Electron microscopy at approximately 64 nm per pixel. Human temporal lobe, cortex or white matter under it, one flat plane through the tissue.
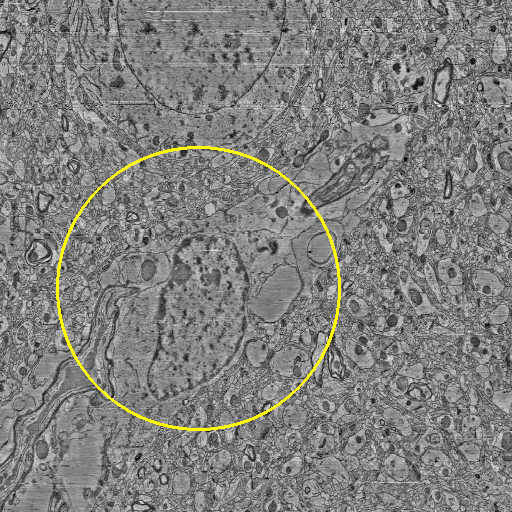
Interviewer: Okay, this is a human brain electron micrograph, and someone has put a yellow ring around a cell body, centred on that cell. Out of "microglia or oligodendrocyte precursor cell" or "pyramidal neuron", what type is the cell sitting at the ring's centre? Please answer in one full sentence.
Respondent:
The cell at the centre of the yellow ring in this picture is a microglial cell or oligodendrocyte precursor cell.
